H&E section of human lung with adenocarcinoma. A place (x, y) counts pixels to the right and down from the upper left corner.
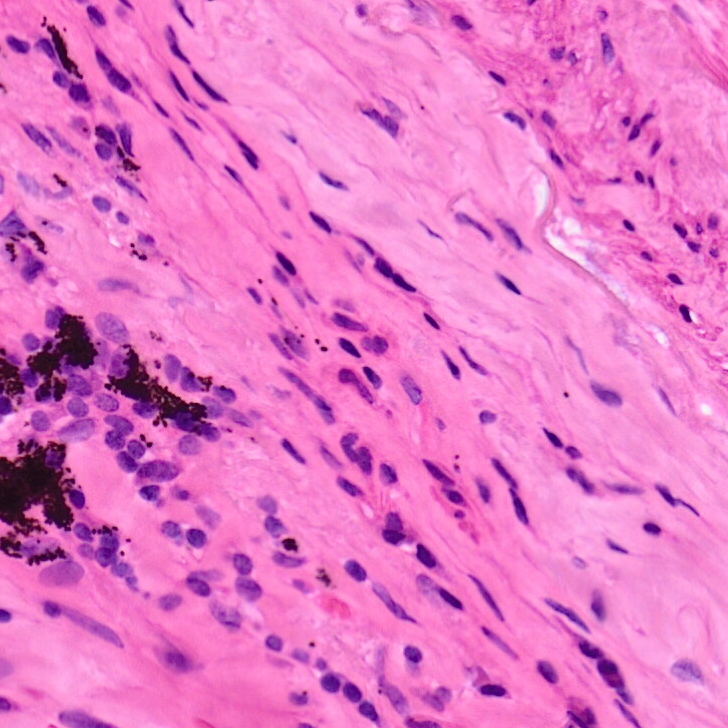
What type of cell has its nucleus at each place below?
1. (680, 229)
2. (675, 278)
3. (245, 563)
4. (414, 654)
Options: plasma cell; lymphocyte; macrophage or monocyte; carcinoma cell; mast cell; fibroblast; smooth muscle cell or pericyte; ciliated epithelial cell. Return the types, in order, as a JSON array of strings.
["smooth muscle cell or pericyte", "smooth muscle cell or pericyte", "lymphocyte", "lymphocyte"]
